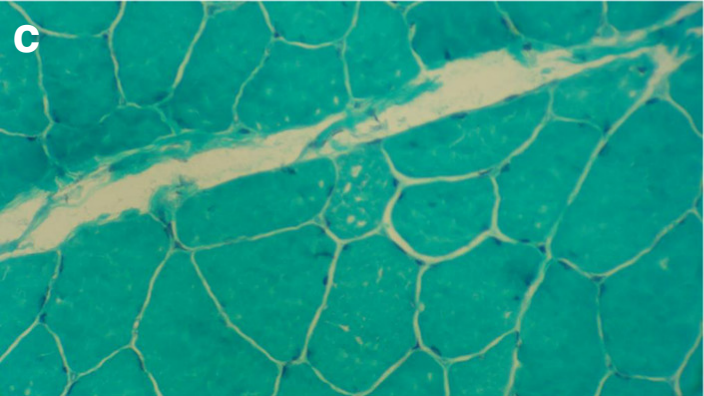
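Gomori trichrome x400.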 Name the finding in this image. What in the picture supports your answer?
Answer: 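One green fiber below the pale connective tissue band contains many small clear holes. Most other fibers are evenly green. The answer: Tiny cytoplasmic vacuoles.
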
